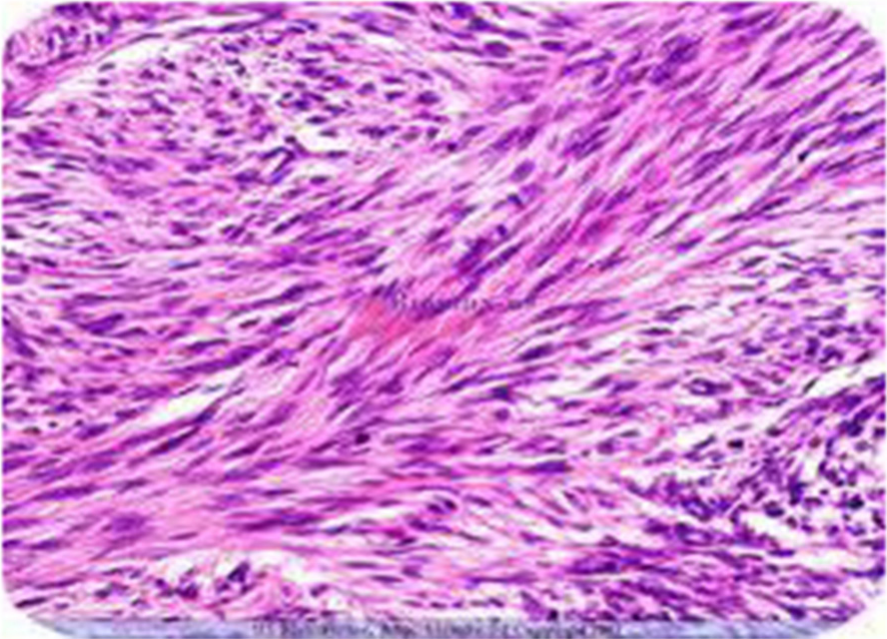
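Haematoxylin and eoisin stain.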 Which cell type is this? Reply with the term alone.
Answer: spindle cells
